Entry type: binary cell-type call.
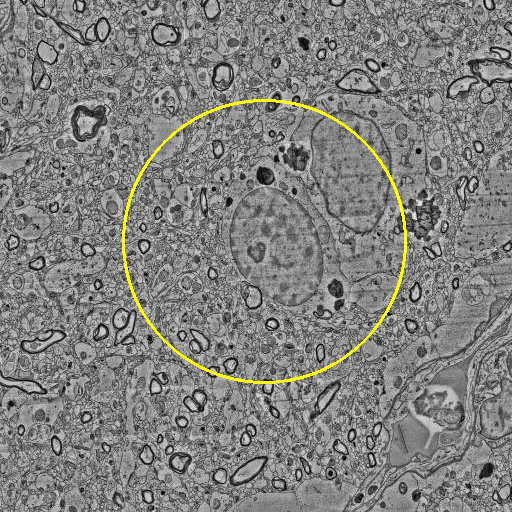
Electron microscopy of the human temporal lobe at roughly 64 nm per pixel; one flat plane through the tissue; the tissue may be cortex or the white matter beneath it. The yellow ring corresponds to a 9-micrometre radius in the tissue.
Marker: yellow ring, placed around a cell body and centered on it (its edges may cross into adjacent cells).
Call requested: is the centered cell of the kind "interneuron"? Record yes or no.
no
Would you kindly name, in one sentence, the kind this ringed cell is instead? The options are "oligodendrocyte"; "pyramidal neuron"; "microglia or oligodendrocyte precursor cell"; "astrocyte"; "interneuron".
Instead, the ring surrounds an oligodendrocyte in this picture.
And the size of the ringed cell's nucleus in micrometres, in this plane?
In this plane the nucleus spans approximately 8 by 6 micrometers.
